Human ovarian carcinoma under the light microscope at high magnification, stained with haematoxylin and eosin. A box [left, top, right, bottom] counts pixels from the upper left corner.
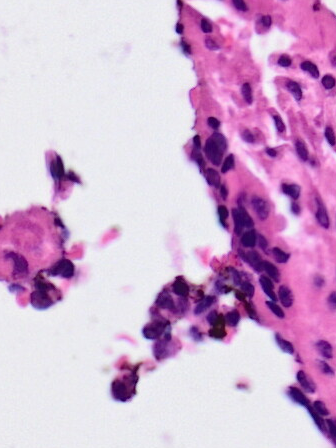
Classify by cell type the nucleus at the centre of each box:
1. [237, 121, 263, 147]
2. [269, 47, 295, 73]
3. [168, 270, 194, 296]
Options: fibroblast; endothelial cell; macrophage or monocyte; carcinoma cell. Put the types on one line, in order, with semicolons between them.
fibroblast; fibroblast; carcinoma cell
